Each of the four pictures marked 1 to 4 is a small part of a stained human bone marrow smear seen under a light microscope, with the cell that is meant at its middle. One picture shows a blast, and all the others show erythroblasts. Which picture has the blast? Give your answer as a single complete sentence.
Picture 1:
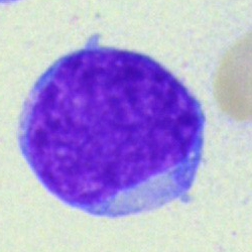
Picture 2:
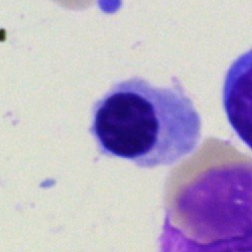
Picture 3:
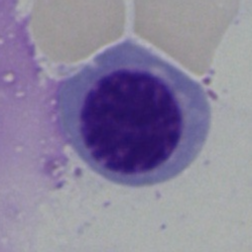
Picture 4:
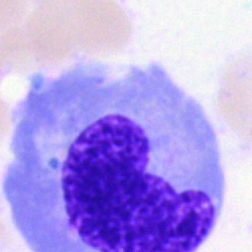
It is picture 1 that shows the blast.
